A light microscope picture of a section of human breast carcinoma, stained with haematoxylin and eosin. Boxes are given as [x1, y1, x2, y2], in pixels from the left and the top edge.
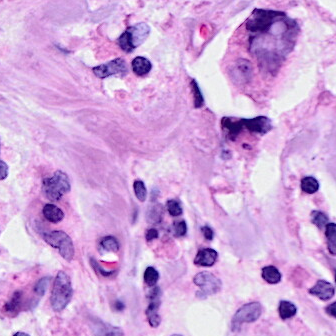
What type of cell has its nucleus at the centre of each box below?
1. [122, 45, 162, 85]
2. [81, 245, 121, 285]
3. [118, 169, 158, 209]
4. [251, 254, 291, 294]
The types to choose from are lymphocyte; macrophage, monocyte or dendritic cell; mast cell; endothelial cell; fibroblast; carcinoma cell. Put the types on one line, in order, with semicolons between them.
lymphocyte; endothelial cell; lymphocyte; lymphocyte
